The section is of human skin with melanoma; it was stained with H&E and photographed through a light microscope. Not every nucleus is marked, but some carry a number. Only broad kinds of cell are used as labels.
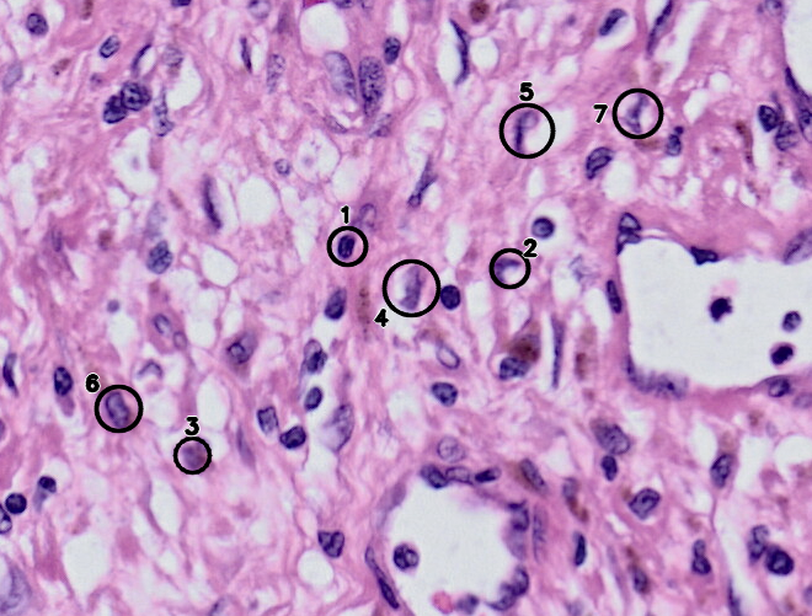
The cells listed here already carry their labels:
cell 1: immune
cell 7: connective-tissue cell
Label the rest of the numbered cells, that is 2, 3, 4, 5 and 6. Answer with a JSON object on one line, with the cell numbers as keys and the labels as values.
{"2": "connective-tissue cell", "3": "immune", "4": "connective-tissue cell", "5": "connective-tissue cell", "6": "immune"}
